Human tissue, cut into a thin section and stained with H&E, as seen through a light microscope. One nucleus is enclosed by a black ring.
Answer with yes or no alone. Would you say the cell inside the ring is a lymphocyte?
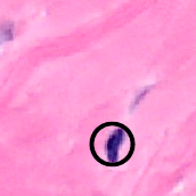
yes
